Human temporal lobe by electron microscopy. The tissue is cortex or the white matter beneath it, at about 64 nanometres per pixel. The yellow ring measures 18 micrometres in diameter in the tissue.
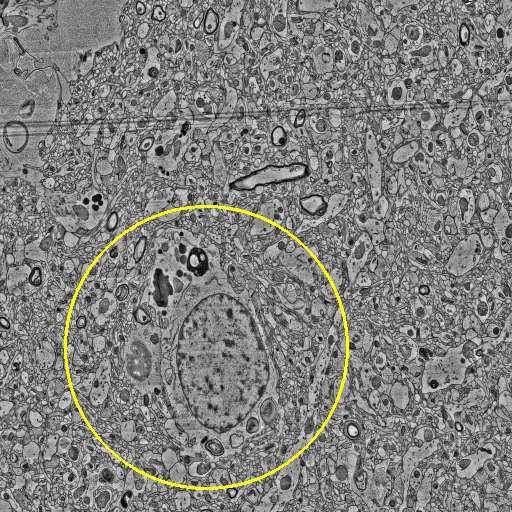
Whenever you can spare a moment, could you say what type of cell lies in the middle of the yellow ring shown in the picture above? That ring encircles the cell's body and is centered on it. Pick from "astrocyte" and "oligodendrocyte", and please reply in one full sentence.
The cell whose body sits at the middle of the yellow ring is an astrocyte.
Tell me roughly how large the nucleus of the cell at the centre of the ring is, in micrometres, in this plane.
Roughly 9 micrometres by 6 micrometres, so the nucleus is clearly longer than it is wide in this plane.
